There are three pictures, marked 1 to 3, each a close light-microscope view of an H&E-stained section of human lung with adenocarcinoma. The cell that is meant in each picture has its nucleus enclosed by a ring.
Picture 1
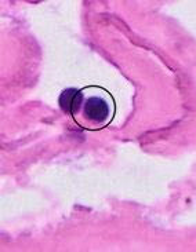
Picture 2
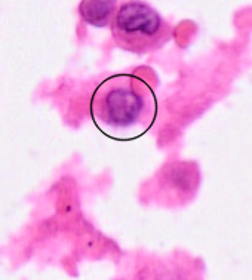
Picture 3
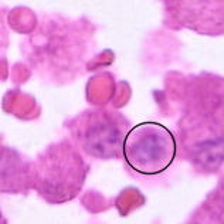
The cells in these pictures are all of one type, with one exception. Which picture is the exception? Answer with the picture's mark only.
1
